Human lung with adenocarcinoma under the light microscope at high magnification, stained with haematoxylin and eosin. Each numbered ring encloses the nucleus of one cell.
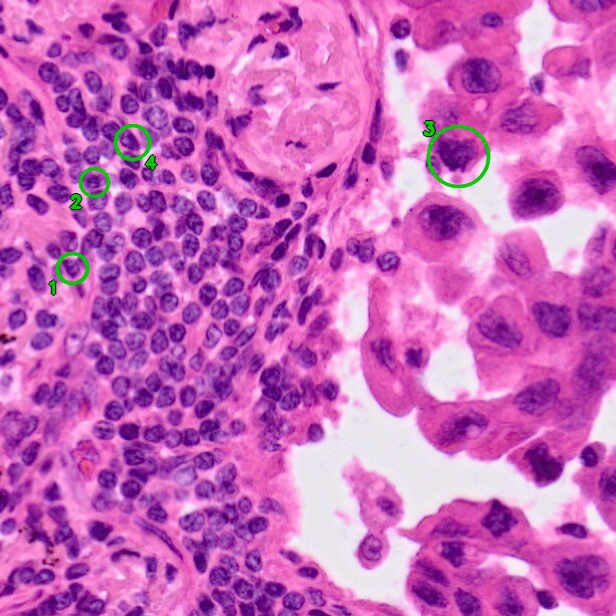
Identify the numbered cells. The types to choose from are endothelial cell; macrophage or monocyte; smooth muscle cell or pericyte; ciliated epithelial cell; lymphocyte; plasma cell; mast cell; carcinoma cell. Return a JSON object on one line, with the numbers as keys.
{"1": "lymphocyte", "2": "lymphocyte", "3": "carcinoma cell", "4": "lymphocyte"}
